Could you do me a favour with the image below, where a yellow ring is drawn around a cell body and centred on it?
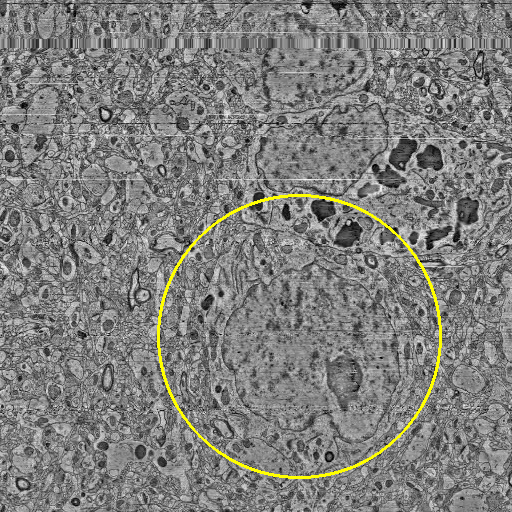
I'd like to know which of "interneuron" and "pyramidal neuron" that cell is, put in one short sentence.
The cell at the ring's centre is an interneuron.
